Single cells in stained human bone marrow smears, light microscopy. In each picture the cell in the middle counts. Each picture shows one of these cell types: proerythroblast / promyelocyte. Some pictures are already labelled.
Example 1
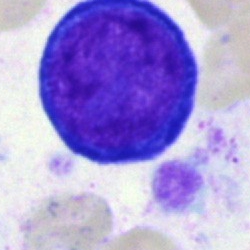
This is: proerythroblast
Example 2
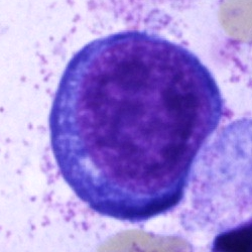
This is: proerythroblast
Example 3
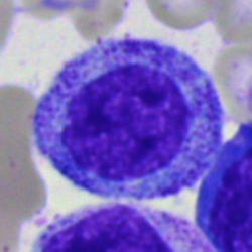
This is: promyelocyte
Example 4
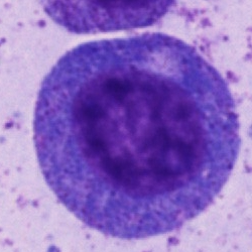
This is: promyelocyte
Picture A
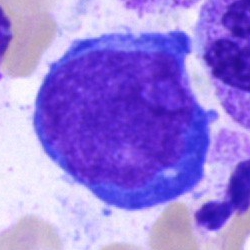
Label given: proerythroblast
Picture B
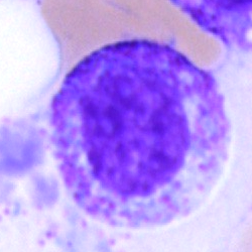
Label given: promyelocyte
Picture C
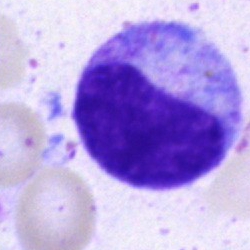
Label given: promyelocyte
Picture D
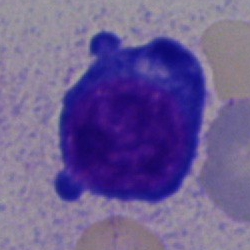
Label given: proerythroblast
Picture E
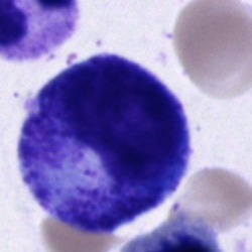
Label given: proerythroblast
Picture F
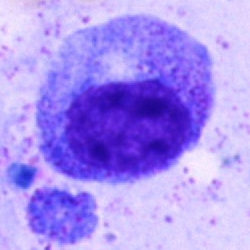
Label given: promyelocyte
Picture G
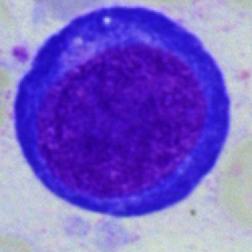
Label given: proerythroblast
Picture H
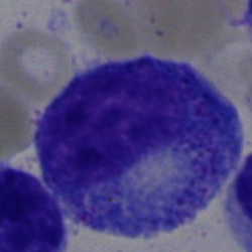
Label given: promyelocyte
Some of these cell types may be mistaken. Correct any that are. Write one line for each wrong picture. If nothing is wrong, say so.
E should be promyelocyte, not proerythroblast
